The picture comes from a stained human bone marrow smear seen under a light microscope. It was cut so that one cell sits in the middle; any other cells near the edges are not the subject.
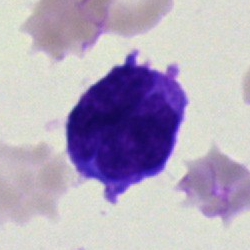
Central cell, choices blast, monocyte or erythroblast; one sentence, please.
The middle cell in this particular crop is a blast.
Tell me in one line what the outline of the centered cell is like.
The cell is outlined unevenly, the border being ragged or extended into projections.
